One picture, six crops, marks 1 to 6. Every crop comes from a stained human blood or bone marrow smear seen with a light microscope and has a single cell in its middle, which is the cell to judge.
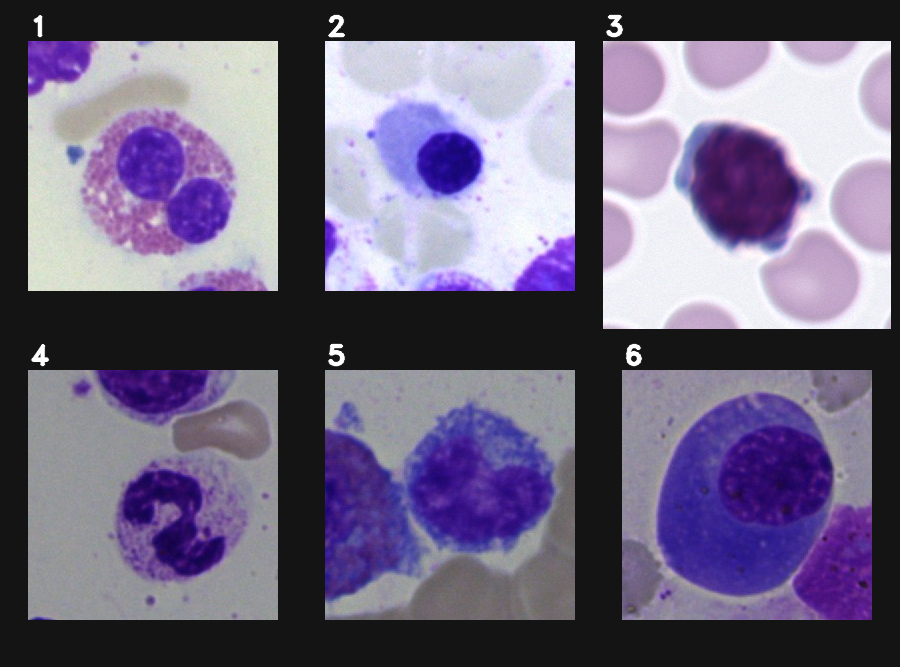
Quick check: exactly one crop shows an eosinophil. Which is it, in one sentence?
On review of the set, crop 1 is the one showing an eosinophil.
